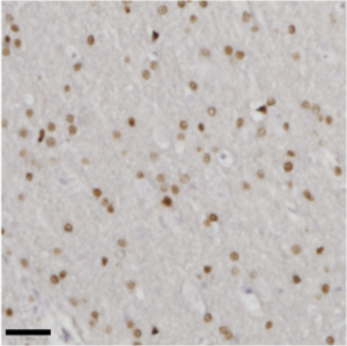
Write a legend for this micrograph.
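This is white matter with many oligodendrocytes whose small, round nuclei are stained brown. The nuclei are of fairly uniform size and are scattered evenly through a pale, finely fibrous background, with a few unstained bluish nuclei between them.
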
